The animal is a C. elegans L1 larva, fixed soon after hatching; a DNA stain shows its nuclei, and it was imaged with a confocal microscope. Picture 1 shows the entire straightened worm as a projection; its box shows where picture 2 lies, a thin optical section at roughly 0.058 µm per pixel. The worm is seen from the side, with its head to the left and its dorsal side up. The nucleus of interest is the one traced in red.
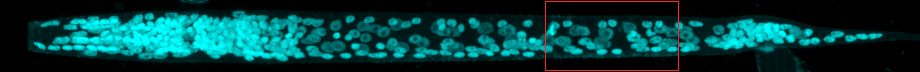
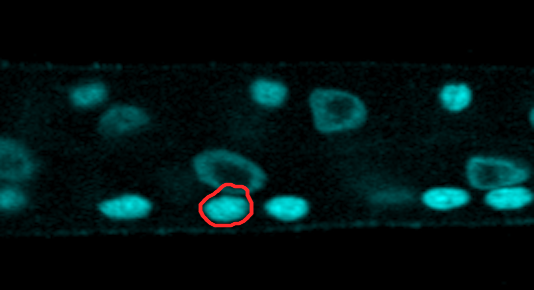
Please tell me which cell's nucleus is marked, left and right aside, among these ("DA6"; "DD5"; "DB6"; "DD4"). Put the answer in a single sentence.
This is the nucleus of DB6, a neuron.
